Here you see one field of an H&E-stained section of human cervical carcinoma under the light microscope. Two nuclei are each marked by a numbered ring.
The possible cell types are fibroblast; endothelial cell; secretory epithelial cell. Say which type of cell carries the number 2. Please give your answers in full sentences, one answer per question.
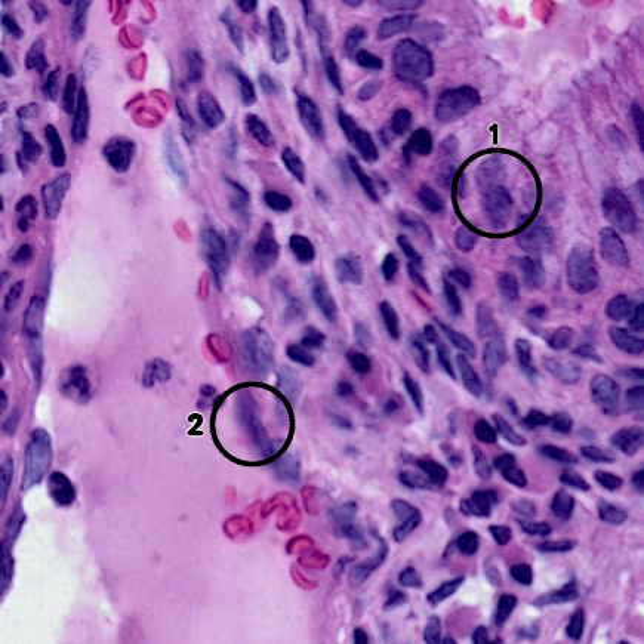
Cell 2 in the field is an endothelial cell.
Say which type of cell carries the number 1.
Classified as a secretory epithelial cell is the cell with the number 1.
